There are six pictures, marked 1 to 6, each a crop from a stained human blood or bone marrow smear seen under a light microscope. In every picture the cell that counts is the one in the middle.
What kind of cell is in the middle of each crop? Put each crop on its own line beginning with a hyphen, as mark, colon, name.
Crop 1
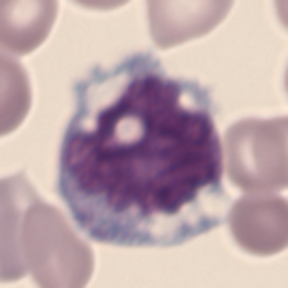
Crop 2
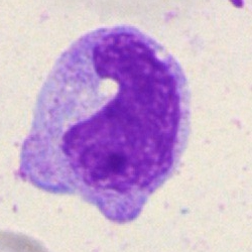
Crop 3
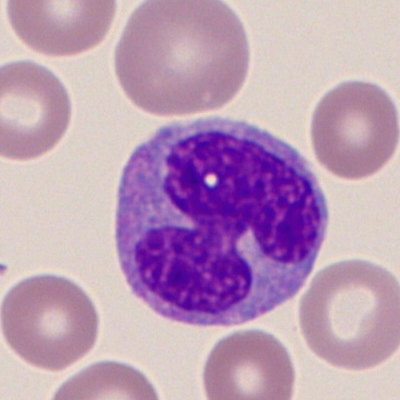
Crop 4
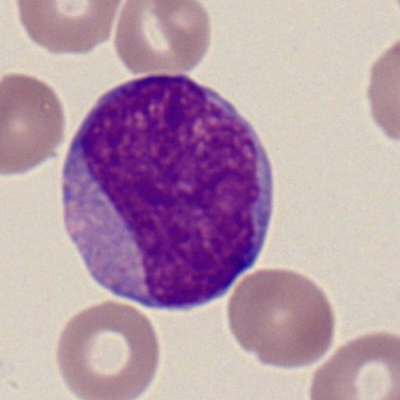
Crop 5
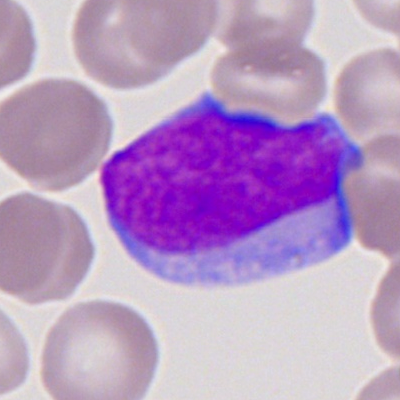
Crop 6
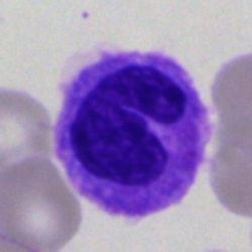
- 1: monocyte
- 2: monocyte
- 3: monocyte
- 4: blast
- 5: blast
- 6: monocyte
